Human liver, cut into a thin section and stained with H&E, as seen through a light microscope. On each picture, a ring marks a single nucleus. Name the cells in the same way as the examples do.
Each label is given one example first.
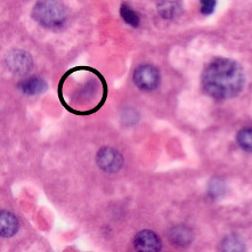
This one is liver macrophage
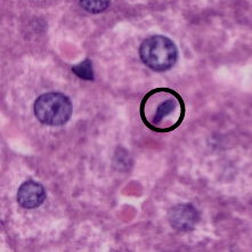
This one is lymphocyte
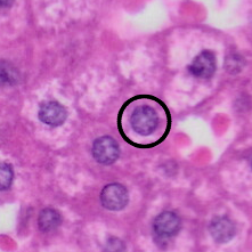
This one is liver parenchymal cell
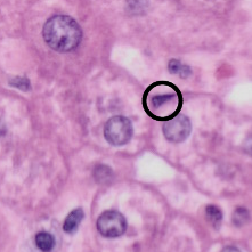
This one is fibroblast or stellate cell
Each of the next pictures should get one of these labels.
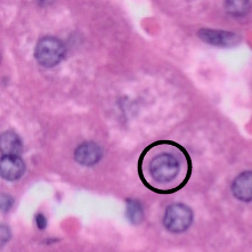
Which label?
liver parenchymal cell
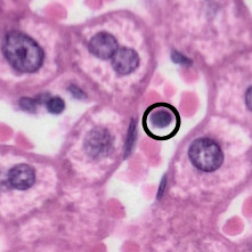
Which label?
lymphocyte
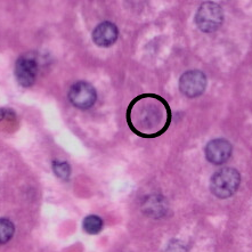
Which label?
liver parenchymal cell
